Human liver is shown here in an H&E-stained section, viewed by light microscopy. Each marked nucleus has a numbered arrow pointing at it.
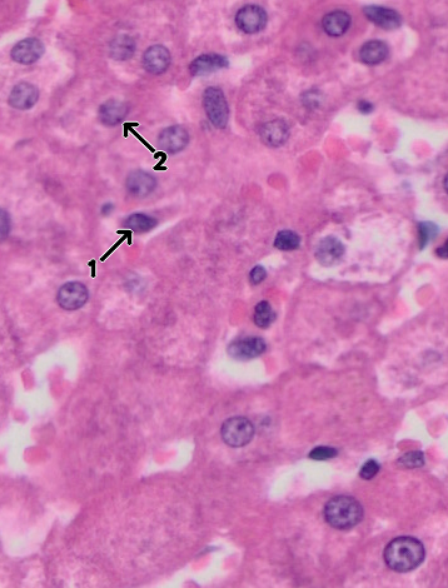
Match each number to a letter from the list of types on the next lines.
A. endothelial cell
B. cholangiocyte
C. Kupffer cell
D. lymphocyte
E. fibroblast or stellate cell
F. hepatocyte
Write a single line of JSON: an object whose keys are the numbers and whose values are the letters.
{"1": "C", "2": "F"}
